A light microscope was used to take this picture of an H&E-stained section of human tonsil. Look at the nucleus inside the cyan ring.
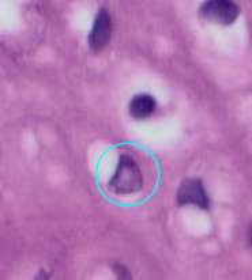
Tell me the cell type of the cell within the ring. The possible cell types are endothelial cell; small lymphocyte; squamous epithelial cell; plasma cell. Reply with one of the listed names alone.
squamous epithelial cell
